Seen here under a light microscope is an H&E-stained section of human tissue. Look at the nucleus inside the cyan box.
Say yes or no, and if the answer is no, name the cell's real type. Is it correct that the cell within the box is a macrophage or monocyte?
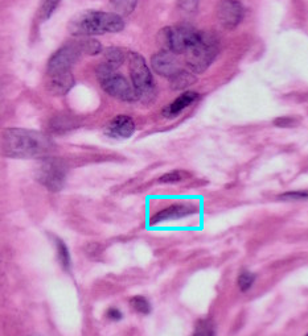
No, it is a fibroblast.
